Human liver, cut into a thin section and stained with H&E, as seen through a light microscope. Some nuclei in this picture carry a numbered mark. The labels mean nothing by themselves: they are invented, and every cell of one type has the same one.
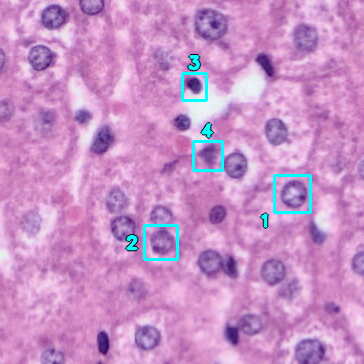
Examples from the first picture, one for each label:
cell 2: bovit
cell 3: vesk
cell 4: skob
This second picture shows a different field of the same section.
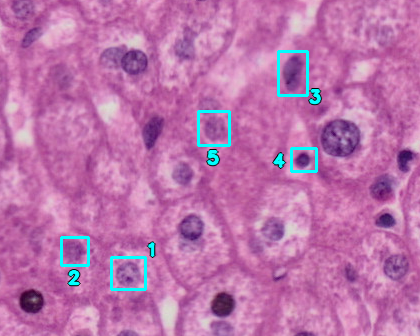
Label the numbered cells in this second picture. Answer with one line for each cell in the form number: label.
1: bovit
2: bovit
3: skob
4: vesk
5: bovit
